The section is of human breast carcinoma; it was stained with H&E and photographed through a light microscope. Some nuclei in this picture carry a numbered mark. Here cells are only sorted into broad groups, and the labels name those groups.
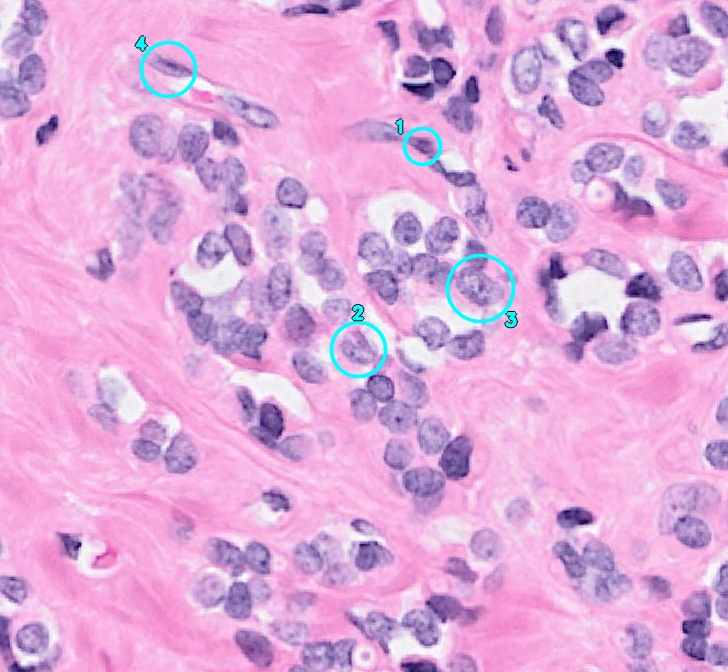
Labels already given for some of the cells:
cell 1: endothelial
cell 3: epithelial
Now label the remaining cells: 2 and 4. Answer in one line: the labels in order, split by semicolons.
epithelial; endothelial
